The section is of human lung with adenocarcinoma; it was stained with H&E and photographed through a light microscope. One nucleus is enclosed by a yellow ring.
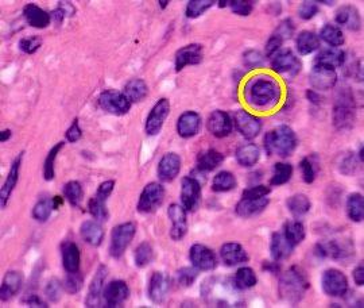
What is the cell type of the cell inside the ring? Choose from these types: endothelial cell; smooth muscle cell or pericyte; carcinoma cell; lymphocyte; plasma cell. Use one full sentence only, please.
Histopathologically, the cell inside the ring is a lymphocyte.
